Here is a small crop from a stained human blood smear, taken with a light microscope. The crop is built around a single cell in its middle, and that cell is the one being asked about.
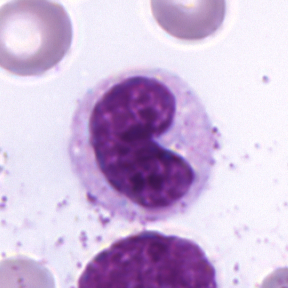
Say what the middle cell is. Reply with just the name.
band neutrophil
